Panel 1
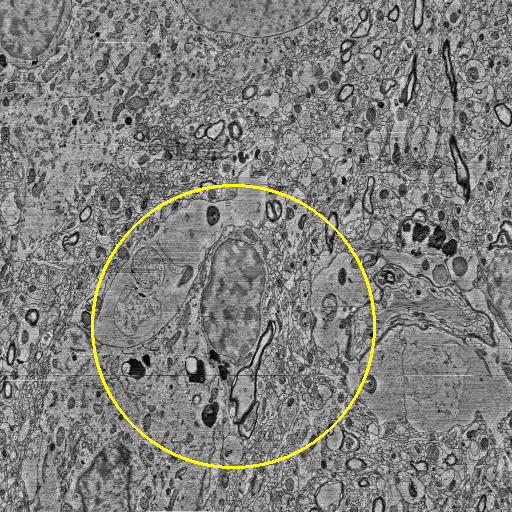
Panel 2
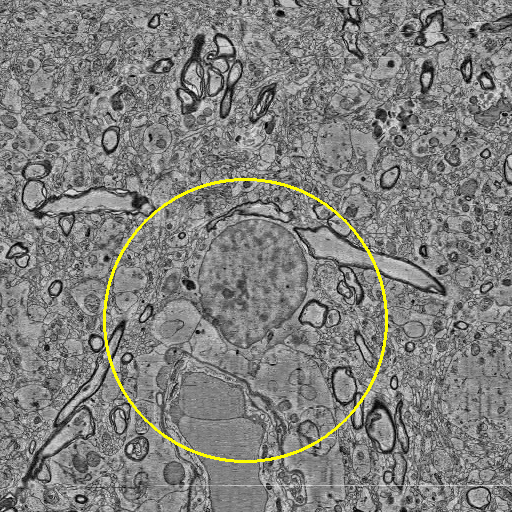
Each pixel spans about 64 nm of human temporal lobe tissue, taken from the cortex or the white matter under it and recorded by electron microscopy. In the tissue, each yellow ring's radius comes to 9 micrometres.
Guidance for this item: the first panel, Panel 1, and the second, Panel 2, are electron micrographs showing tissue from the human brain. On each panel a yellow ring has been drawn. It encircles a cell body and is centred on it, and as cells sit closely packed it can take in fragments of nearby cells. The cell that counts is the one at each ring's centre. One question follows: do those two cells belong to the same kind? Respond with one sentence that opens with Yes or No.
Yes, the cells at the ring centres in Panel 1 and Panel 2 are of one kind.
